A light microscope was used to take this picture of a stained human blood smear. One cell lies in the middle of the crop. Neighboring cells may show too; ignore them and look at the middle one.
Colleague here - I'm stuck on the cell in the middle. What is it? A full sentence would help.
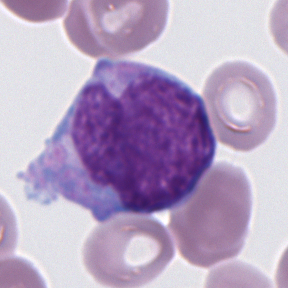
The cell marked by its central position in the crop is an atypical promyelocyte.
